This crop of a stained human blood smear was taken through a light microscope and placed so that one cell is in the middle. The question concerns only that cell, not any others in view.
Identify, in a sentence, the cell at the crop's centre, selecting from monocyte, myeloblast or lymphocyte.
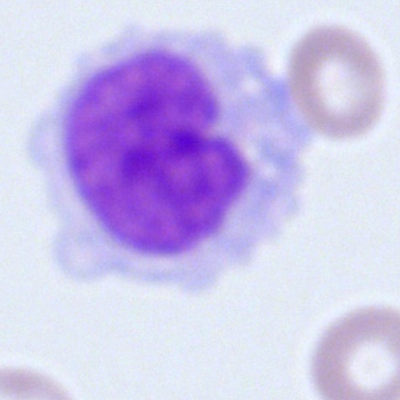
Occupying the centre of the crop is a monocyte.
